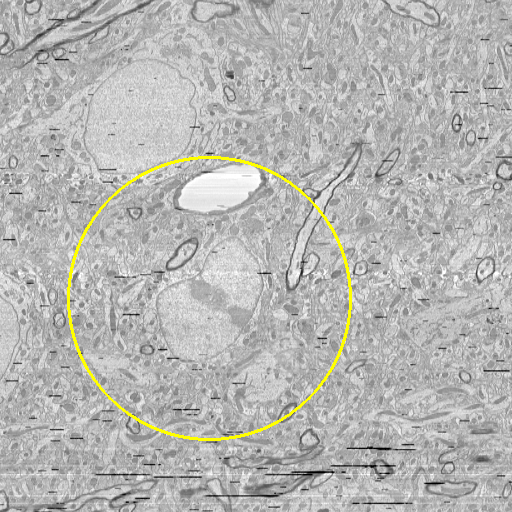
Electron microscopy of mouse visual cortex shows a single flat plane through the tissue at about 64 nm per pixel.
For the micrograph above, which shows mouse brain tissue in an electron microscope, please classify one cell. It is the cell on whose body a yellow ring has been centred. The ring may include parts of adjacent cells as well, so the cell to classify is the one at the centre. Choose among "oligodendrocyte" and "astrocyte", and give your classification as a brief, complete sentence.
I classify this cell as an astrocyte.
